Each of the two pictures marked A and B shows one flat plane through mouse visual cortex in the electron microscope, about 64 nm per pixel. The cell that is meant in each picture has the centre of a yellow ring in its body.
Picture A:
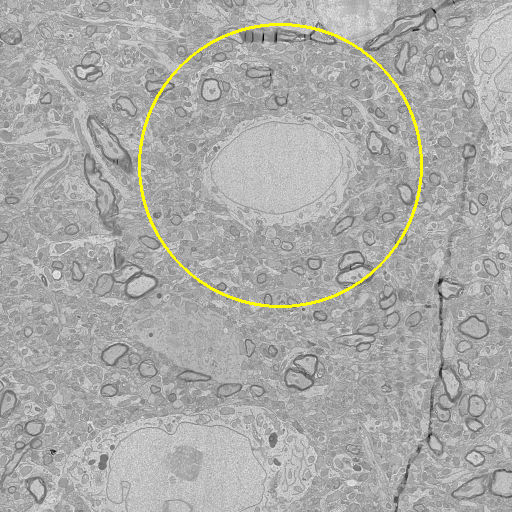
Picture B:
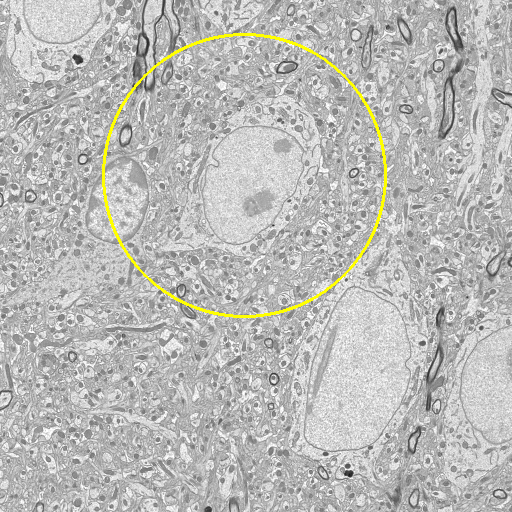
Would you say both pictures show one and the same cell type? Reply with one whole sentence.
Yes; the cells in both pictures are excitatory neurons.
